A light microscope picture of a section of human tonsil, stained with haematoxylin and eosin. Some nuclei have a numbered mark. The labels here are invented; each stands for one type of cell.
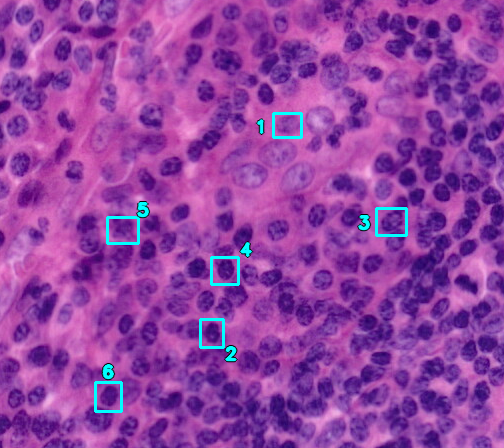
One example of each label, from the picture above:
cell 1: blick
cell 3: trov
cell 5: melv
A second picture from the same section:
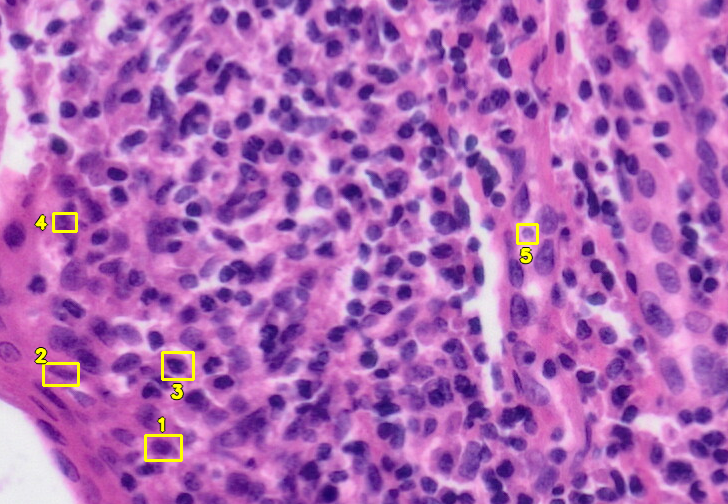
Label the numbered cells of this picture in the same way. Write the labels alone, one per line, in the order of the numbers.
melv
melv
trov
melv
blick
